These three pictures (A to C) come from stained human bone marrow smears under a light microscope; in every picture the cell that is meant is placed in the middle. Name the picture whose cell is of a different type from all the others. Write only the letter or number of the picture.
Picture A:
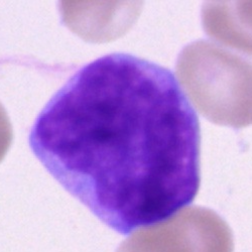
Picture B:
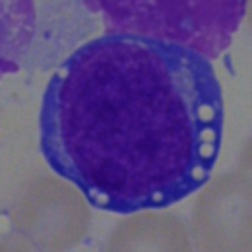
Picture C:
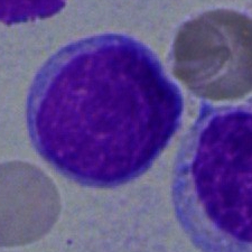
C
